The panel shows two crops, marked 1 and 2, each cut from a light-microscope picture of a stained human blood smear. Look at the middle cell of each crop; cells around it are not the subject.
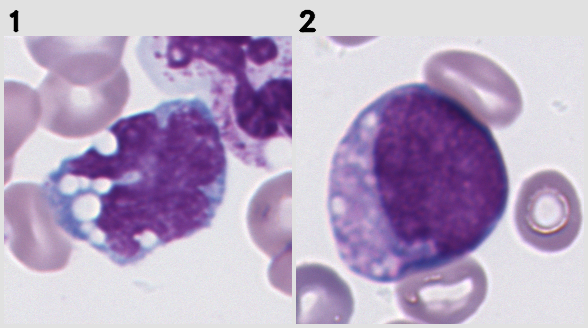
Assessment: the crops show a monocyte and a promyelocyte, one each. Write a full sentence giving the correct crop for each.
Crop 1 presents a monocyte, and crop 2 presents a promyelocyte.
